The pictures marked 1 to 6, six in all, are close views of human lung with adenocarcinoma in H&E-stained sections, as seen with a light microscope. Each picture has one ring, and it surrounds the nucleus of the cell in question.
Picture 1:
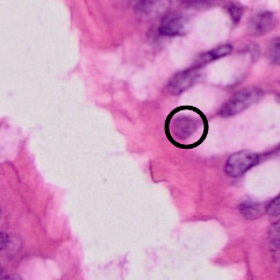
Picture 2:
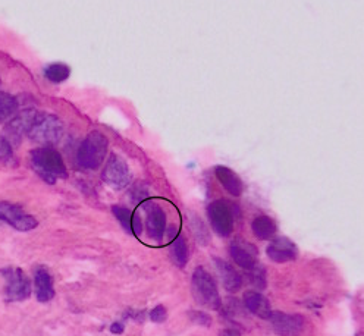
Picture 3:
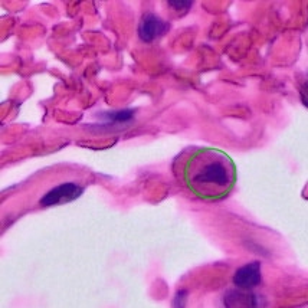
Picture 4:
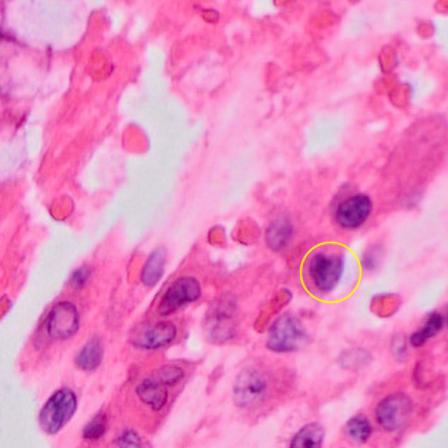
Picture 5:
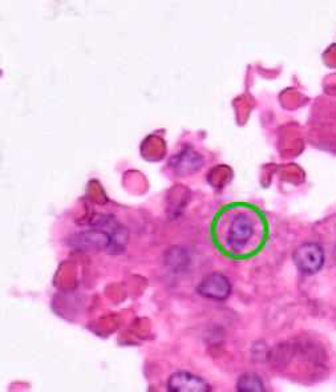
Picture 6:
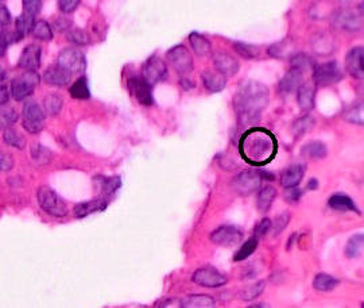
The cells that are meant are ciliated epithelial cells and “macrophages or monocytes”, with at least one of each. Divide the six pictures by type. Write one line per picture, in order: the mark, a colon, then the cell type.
1: ciliated epithelial cell
2: ciliated epithelial cell
3: macrophage or monocyte
4: macrophage or monocyte
5: macrophage or monocyte
6: ciliated epithelial cell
